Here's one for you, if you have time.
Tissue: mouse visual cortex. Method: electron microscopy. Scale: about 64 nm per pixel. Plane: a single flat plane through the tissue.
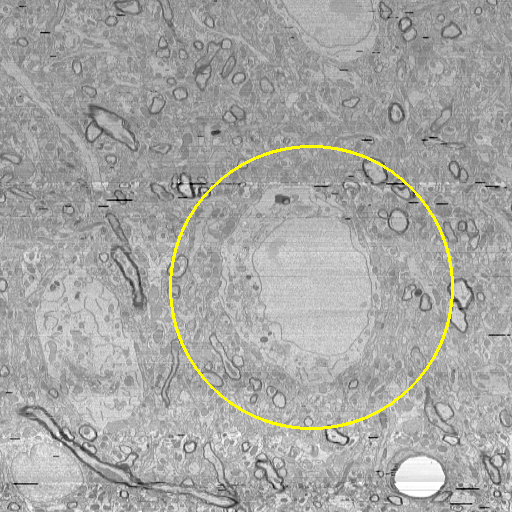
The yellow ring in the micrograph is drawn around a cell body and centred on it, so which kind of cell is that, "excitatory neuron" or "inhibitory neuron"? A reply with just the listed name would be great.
excitatory neuron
